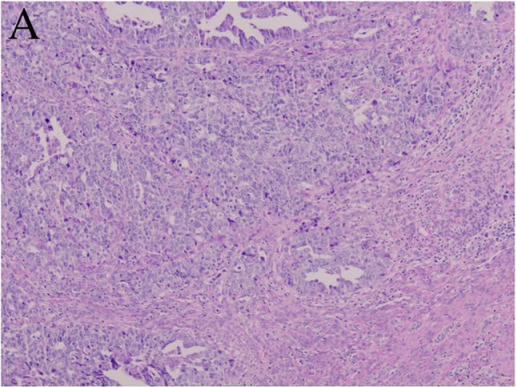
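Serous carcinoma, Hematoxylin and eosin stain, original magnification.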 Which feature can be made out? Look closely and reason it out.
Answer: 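Glandular, papillary formation, and solid sheets. Broad sheets of densely packed tumour cells fill much of the field. Small slit-like and rounded spaces lie within the tumour sheets. Bands of pink stroma separate the tumour masses.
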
